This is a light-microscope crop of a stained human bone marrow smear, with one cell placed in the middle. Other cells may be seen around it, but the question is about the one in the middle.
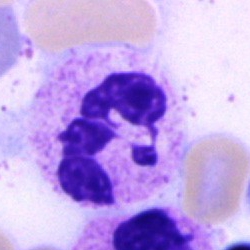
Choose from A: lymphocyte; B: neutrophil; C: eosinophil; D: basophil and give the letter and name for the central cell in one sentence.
That cell in the center is a neutrophil, hence option B.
